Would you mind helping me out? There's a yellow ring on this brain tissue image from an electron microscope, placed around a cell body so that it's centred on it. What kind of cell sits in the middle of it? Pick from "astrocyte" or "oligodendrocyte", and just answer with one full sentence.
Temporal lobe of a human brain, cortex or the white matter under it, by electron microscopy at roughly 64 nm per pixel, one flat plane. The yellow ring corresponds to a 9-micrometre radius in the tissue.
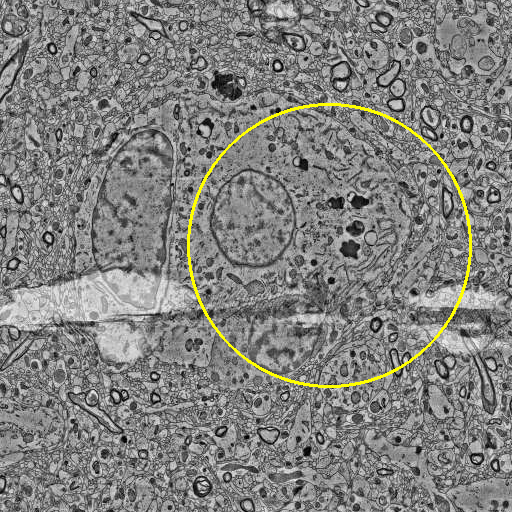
What sits in the middle of that yellow ring is an oligodendrocyte, from your choices.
